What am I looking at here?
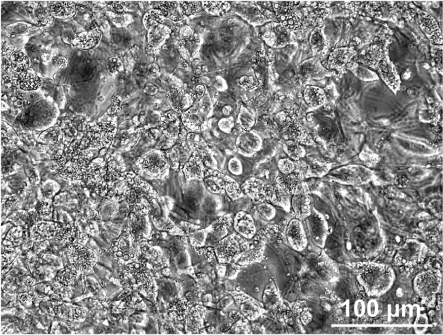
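This is a dense culture of adipocytes under phase contrast. Many cells have rounded up and are filled with clusters of small, bright, refractile fat droplets, while flatter, spindle-shaped cells spread between them.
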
